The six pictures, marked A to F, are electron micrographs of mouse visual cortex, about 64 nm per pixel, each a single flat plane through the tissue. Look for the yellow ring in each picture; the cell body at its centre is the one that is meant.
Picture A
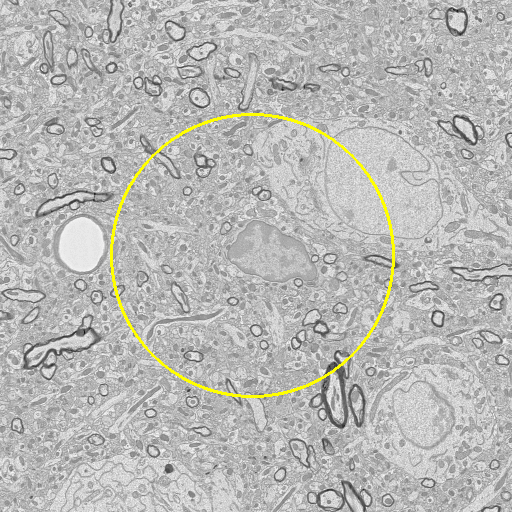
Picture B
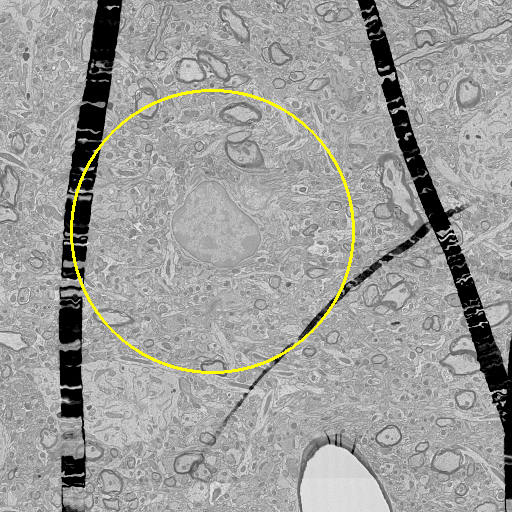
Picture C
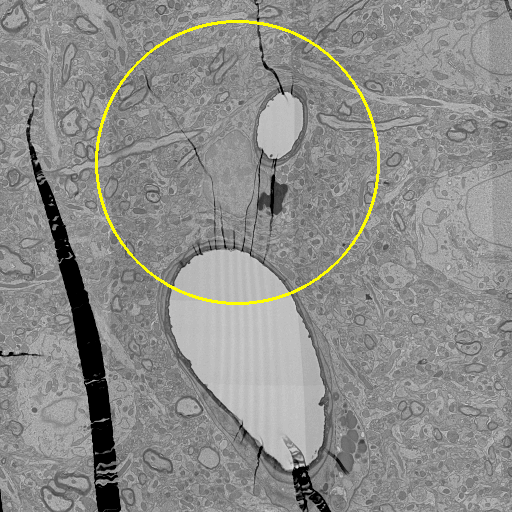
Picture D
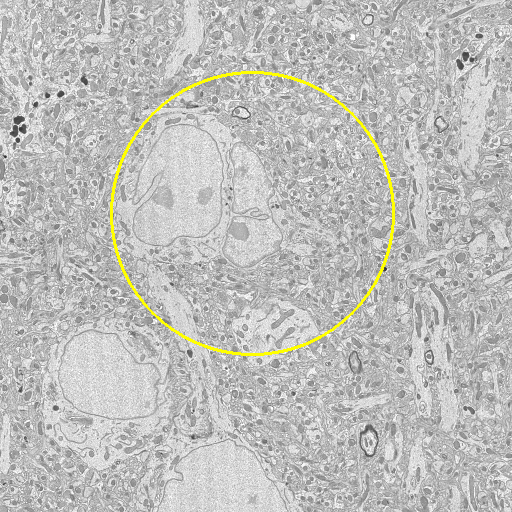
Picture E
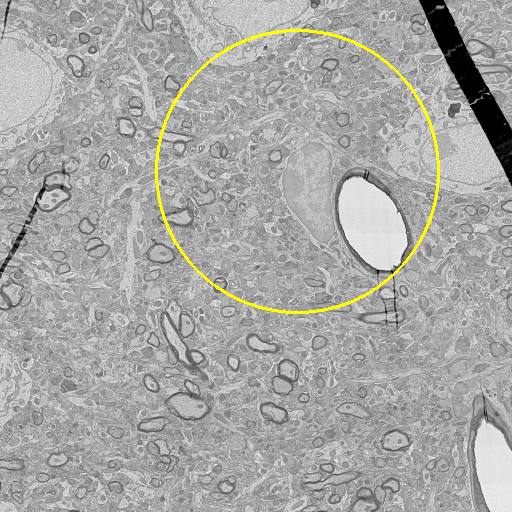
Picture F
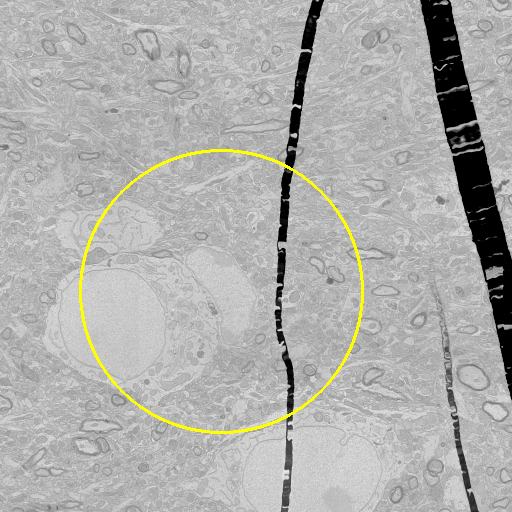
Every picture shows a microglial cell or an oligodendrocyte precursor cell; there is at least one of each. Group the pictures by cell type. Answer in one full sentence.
Pictures A, B, C and E show microglial cells, and pictures D and F show oligodendrocyte precursor cells.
